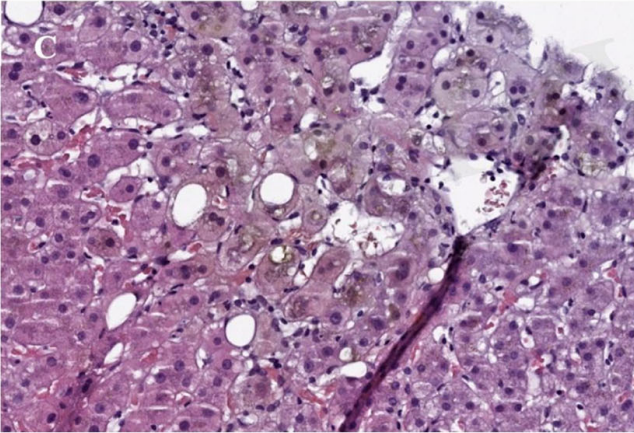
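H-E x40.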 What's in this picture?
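Liver tissue around a central vein, with plates of large polygonal hepatocytes that have round central nuclei and pink cytoplasm. Many hepatocytes near the vein hold coarse yellow-brown to greenish pigment granules in their cytoplasm, and several are swollen and contain clear round vacuoles. Red blood cells lie in the sinusoids and in the vein lumen.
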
